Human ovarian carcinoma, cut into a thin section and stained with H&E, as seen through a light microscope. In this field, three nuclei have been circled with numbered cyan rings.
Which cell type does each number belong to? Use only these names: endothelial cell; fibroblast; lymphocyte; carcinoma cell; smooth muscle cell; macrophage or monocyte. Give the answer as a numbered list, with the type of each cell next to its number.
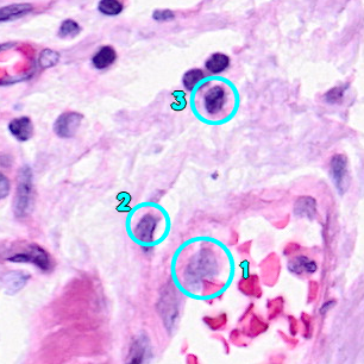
1. endothelial cell
2. macrophage or monocyte
3. lymphocyte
